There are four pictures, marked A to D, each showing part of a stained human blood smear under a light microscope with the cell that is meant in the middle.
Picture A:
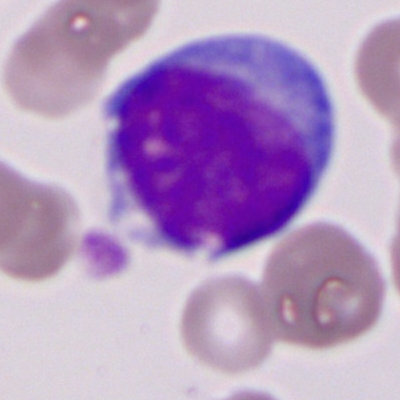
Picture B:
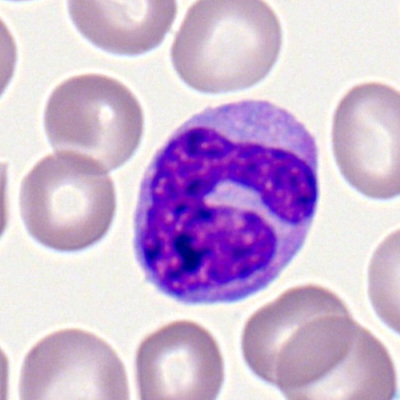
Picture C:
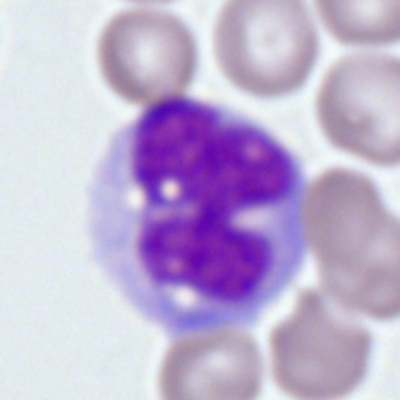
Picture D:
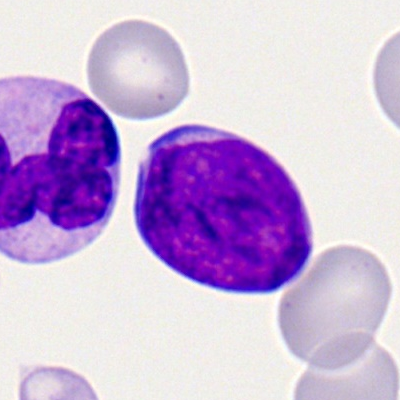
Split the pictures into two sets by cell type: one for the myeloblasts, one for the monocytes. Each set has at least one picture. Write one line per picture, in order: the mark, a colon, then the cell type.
A: myeloblast
B: monocyte
C: monocyte
D: myeloblast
